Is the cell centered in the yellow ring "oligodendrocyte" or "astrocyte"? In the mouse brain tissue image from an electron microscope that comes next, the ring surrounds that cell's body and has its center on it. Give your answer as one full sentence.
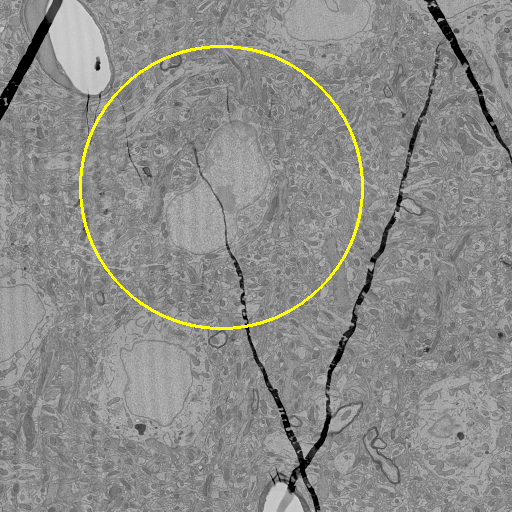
The cell at the center of the yellow ring is an astrocyte in the micrograph.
